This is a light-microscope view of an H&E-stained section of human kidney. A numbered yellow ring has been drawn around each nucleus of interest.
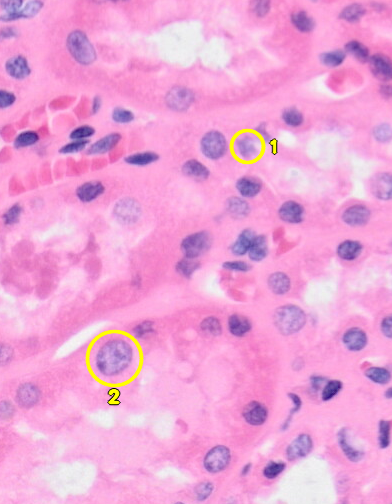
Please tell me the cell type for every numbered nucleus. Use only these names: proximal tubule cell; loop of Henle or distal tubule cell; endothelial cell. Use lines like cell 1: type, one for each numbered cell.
cell 1: loop of Henle or distal tubule cell
cell 2: proximal tubule cell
